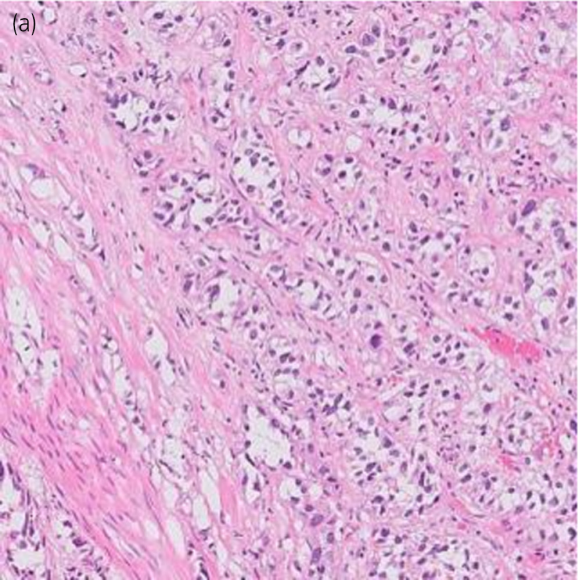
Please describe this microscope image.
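The tumor cells have enlarged, irregular, dark-staining nuclei that vary considerably in size and shape. Much of their cytoplasm is pale and clear or vacuolated. Bands of dense pink fibrous tissue run between the cell groups, especially toward the left.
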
